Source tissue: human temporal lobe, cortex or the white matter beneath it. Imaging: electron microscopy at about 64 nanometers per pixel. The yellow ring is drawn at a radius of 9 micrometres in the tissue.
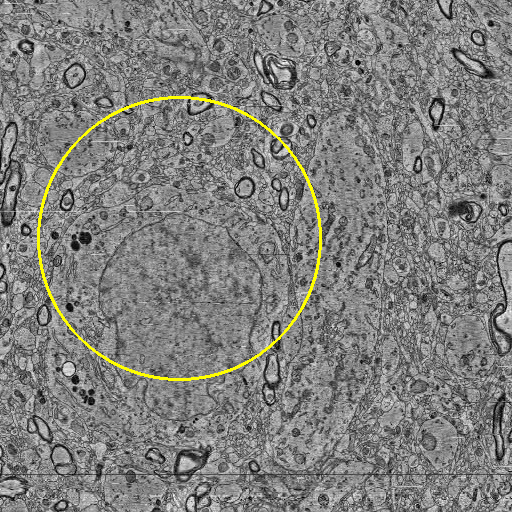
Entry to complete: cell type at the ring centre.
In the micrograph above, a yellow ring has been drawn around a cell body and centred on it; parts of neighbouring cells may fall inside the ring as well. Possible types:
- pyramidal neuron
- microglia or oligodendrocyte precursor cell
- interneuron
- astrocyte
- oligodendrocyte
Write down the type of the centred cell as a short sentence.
The ring is centred on an interneuron.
